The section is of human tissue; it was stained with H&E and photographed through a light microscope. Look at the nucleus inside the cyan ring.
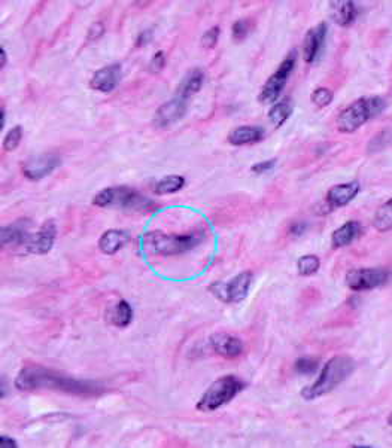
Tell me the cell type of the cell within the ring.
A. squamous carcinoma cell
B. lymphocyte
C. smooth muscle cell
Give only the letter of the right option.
C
